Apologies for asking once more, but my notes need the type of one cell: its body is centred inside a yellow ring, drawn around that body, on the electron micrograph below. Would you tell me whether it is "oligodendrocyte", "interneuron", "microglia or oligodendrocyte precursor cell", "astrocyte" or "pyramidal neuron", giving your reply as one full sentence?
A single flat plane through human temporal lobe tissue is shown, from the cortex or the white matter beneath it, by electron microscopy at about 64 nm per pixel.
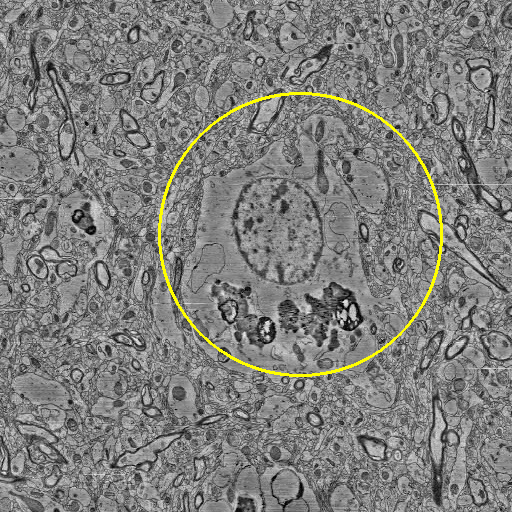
The cell that the yellow ring is centred on is an astrocyte in this micrograph.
